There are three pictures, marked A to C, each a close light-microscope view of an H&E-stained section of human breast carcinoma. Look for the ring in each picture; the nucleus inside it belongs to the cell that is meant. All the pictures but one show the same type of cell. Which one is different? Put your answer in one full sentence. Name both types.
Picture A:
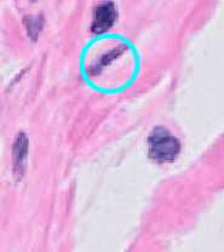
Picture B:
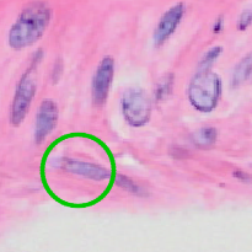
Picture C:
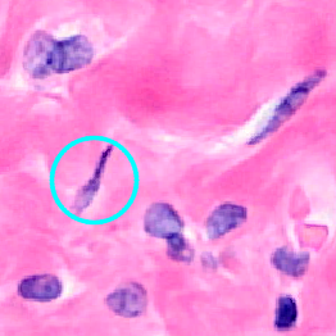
The others show fibroblasts, but picture B shows an endothelial cell.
